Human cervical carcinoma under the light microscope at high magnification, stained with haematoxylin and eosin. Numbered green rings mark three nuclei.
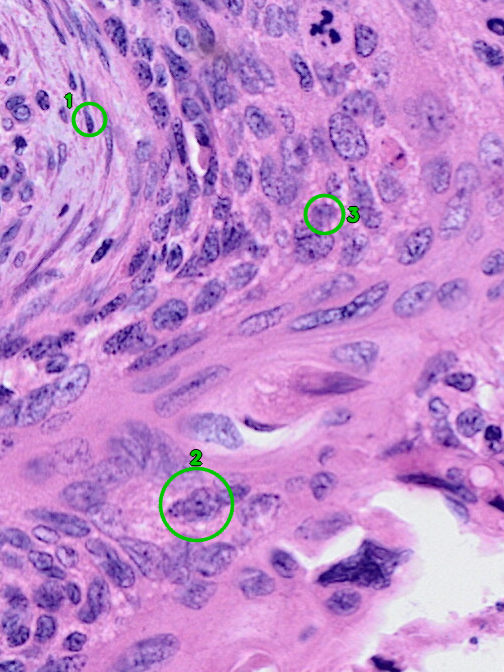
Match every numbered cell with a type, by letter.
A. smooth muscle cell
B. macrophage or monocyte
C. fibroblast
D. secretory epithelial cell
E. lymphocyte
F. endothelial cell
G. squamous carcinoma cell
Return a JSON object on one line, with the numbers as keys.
{"1": "C", "2": "G", "3": "G"}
